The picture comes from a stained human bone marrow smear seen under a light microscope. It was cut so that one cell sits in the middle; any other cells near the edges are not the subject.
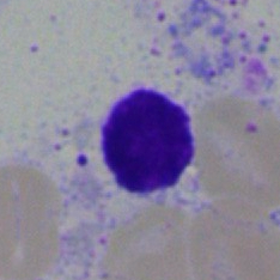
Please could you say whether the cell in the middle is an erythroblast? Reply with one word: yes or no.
no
